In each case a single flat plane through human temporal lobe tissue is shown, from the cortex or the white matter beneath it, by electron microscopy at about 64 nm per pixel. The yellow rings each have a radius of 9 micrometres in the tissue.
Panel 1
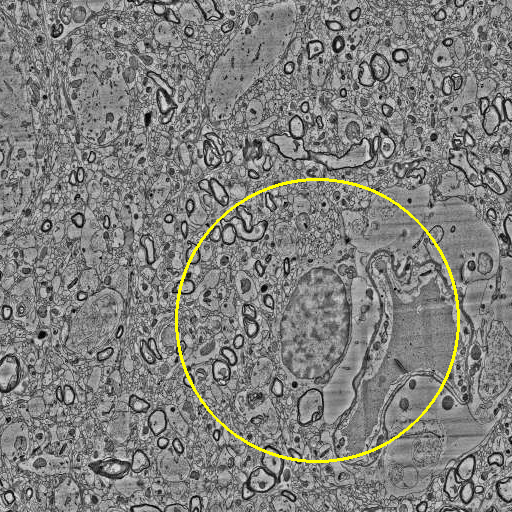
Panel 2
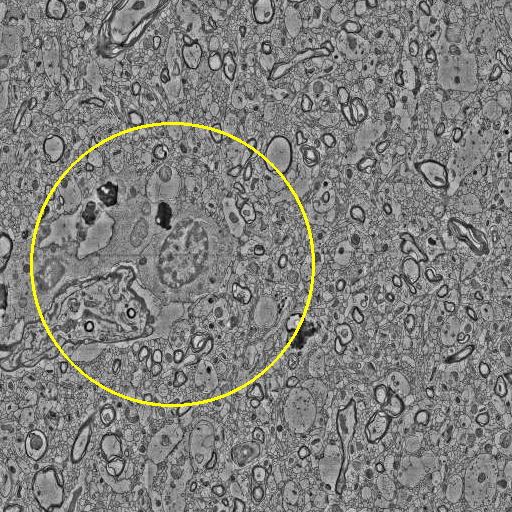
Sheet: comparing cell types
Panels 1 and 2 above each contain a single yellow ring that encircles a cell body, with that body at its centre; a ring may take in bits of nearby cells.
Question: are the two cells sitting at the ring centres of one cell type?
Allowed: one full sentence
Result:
Yes, the ring-centre cells in Panel 1 and Panel 2 are of one type.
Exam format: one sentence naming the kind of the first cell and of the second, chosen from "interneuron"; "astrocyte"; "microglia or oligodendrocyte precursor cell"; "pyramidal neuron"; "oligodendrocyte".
Each cell at the centre of a ring is an oligodendrocyte.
